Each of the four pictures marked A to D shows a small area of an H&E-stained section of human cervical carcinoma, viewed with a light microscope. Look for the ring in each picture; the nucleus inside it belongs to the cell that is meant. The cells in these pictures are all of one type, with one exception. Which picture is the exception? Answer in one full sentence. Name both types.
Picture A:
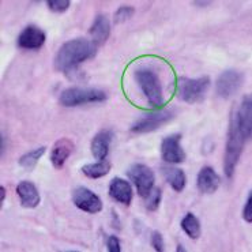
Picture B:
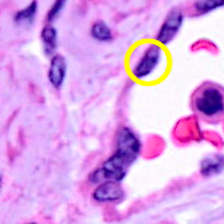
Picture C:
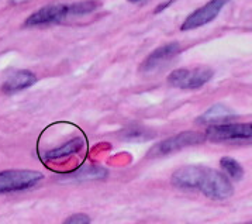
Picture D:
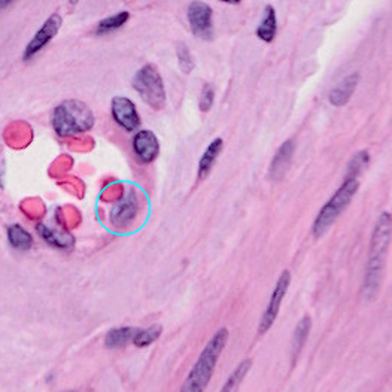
Unlike the rest, which show endothelial cells, picture A shows a fibroblast.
